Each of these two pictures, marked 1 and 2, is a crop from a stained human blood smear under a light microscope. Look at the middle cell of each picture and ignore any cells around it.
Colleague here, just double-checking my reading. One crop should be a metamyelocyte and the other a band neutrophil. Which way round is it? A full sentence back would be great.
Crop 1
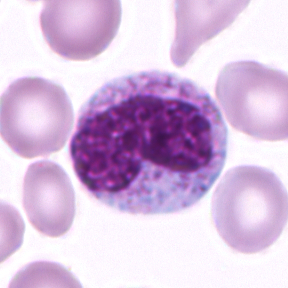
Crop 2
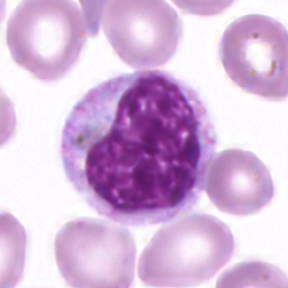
The cell centred in crop 1 is a band neutrophil, and the one centred in crop 2 is a metamyelocyte.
